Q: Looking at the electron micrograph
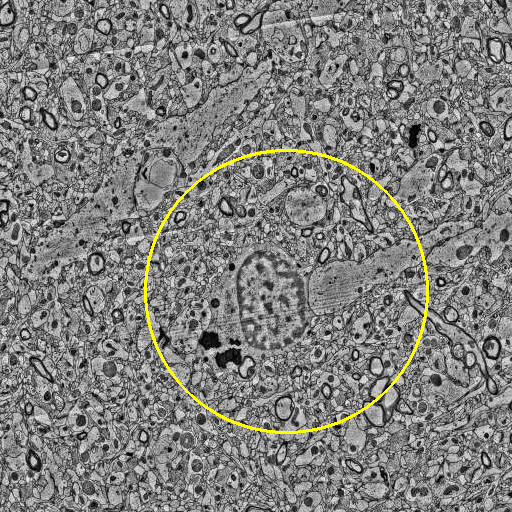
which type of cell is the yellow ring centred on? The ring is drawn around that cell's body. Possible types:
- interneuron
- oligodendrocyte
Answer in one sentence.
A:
The yellow ring is centred on an oligodendrocyte.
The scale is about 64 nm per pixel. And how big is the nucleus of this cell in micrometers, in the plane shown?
The nucleus measures about 6 by 4 micrometres in this plane.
